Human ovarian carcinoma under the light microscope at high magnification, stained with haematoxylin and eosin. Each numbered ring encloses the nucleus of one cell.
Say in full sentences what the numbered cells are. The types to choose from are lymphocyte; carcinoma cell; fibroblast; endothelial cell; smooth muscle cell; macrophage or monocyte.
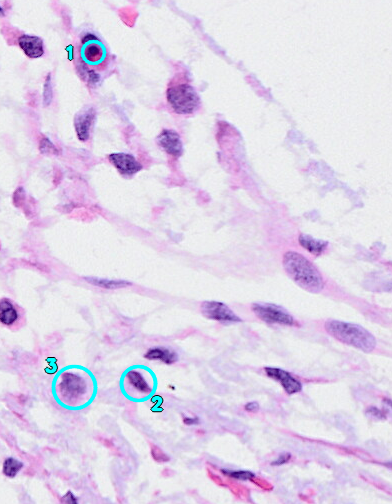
Cell 1 is an endothelial cell, cell 2 is a fibroblast and cell 3 is a fibroblast.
